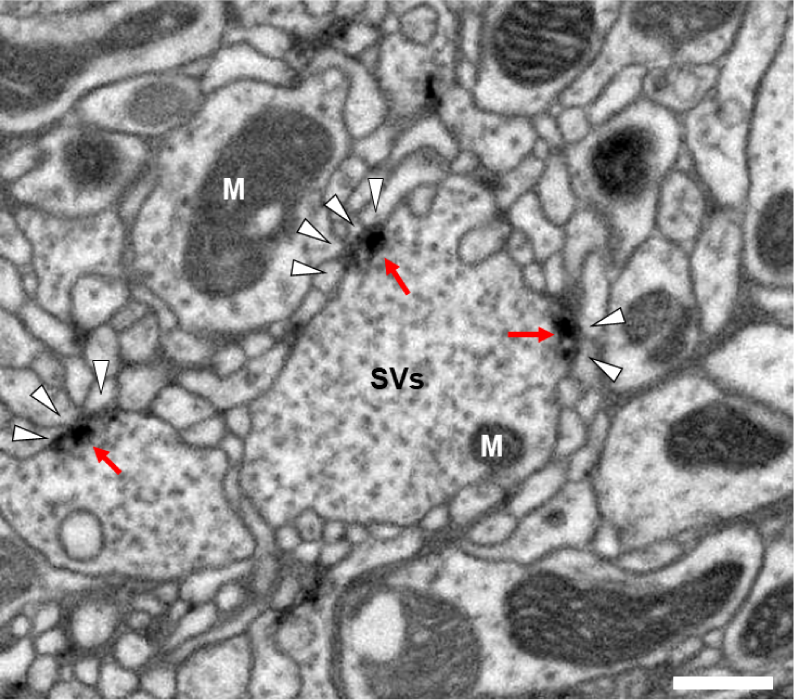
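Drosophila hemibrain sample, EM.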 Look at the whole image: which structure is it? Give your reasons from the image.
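Polyadic synapses. Each dark presynaptic density faces several separate small profiles at once. The neurite profiles are packed closely, with dark, well-defined membranes.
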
